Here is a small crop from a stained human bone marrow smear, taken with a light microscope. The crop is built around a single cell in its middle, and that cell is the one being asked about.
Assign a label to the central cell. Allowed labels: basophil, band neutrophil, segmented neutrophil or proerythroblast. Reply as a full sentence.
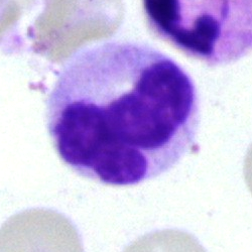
The central cell, amid any neighbouring cells, is a band neutrophil.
